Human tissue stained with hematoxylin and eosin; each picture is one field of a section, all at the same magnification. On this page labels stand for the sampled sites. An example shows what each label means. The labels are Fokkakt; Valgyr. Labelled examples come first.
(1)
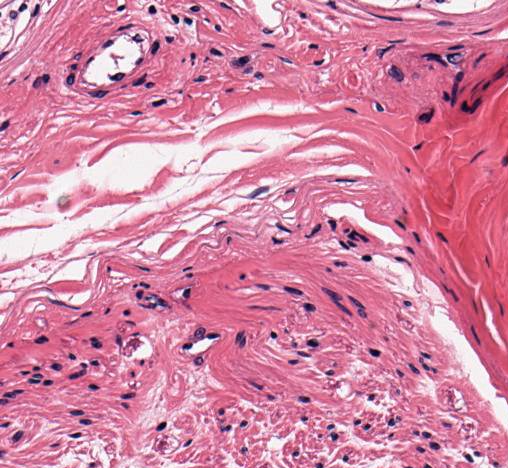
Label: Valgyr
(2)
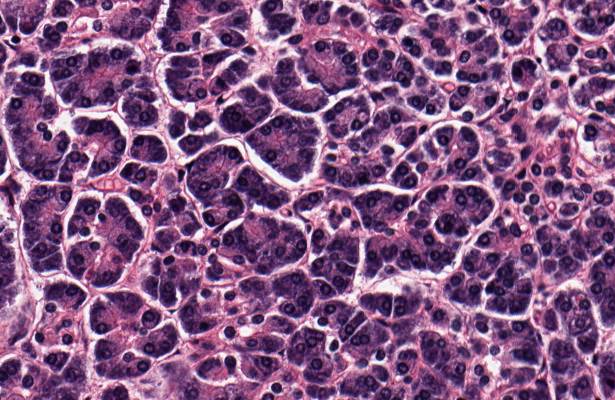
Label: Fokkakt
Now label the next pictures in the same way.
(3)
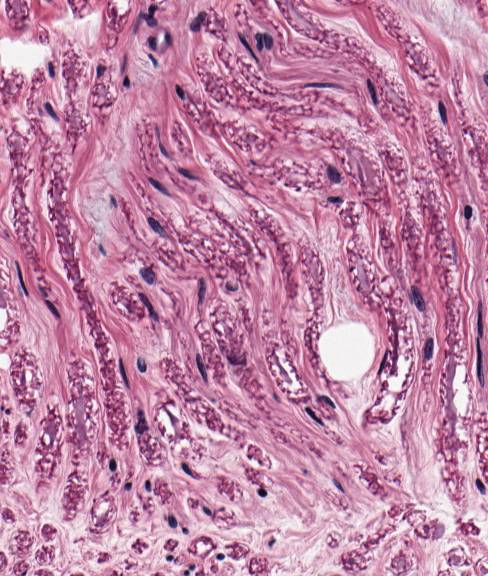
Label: Valgyr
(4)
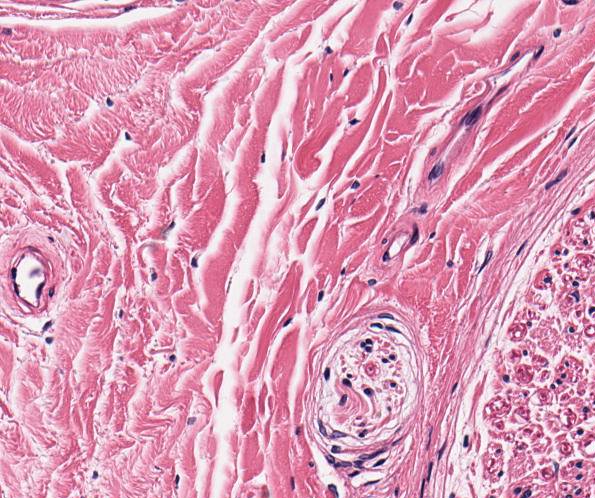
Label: Valgyr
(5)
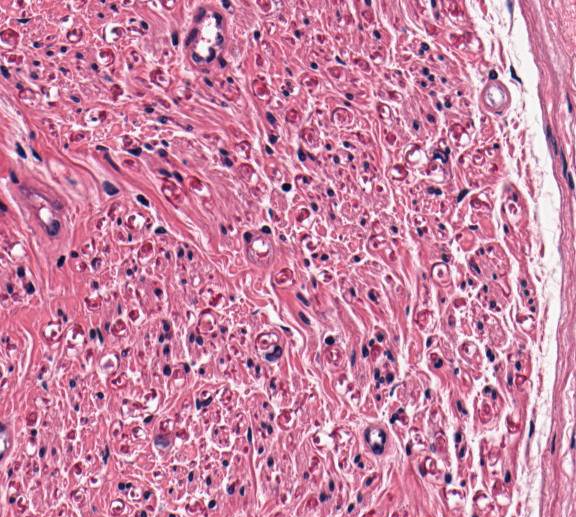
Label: Valgyr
